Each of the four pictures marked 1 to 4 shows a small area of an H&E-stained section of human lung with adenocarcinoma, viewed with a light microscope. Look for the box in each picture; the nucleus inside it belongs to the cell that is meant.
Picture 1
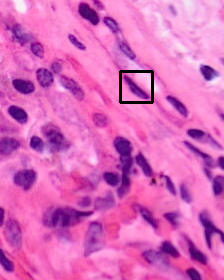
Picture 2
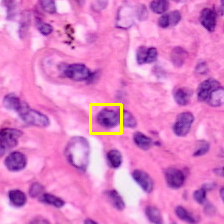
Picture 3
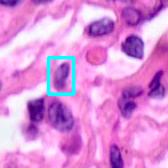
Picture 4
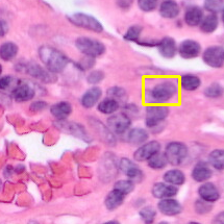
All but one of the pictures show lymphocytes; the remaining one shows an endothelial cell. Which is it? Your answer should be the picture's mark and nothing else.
1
